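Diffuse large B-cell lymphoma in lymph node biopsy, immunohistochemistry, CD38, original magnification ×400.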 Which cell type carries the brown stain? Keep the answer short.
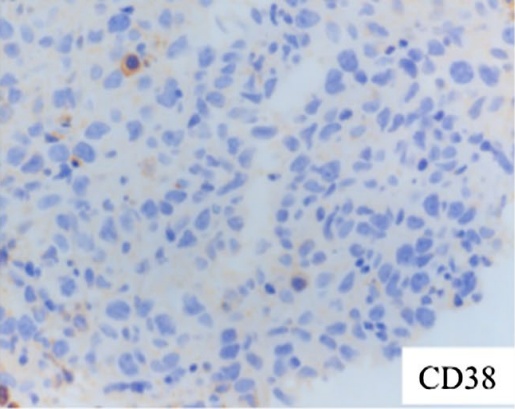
plasma cells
